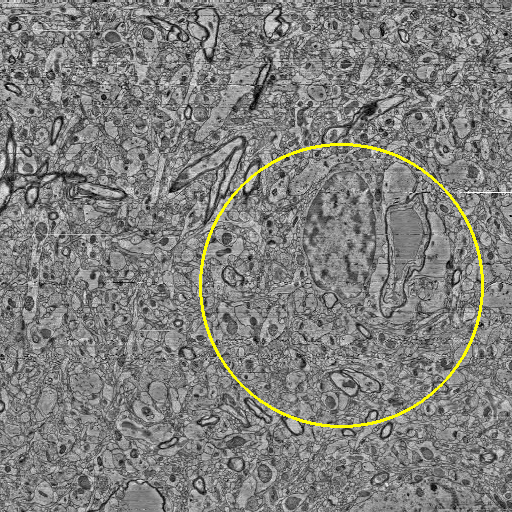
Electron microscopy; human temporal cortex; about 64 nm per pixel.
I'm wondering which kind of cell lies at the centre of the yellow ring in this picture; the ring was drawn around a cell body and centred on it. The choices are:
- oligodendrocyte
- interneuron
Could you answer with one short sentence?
At the centre of the ring lies an oligodendrocyte.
